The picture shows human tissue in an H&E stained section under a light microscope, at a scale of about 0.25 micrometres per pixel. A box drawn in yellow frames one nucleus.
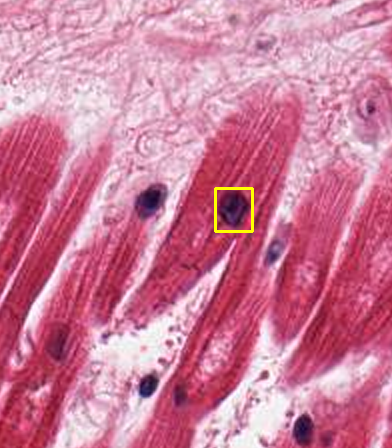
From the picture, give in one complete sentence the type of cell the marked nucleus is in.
The nucleus marked in this picture belongs to a cardiomyocyte.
